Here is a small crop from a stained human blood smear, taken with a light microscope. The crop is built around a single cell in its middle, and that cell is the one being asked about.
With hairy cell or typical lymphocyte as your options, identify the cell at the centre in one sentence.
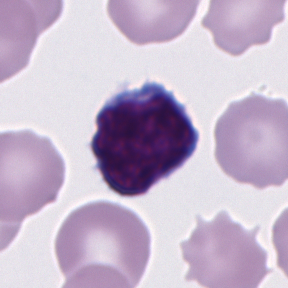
What the crop centres on is a typical lymphocyte.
